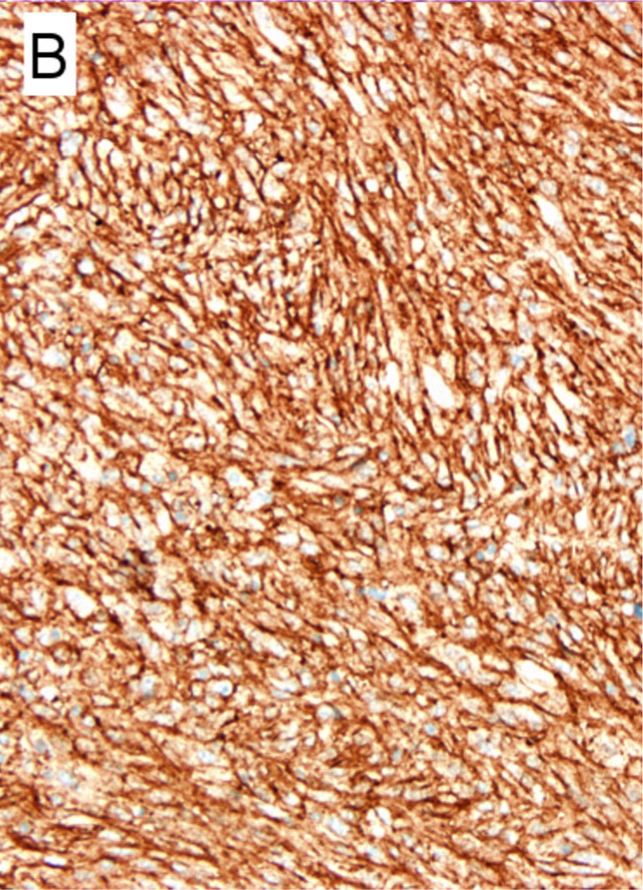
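The brown fills the cytoplasm and outlines the cell borders, so the elongated cells appear as a meshwork of brown strands running in fascicles. The nuclei show through only as pale blue-grey ovals within the brown. Some cells look clear in the middle, with brown rims around them. The staining is diffuse and even across the whole field.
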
